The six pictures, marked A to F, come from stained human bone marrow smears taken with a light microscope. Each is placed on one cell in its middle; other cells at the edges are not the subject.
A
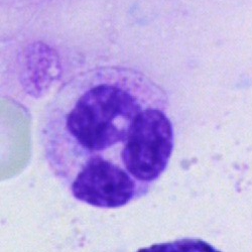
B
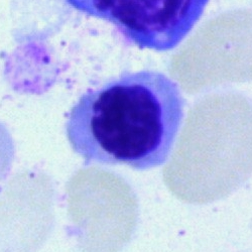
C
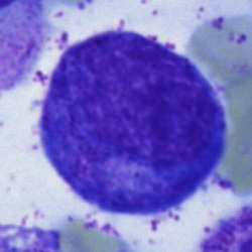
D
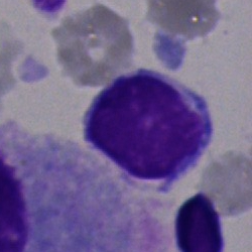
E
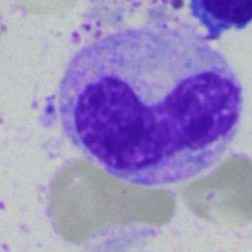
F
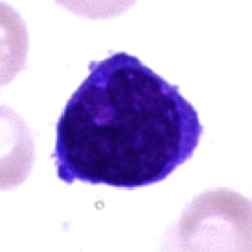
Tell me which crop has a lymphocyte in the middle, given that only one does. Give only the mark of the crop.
D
